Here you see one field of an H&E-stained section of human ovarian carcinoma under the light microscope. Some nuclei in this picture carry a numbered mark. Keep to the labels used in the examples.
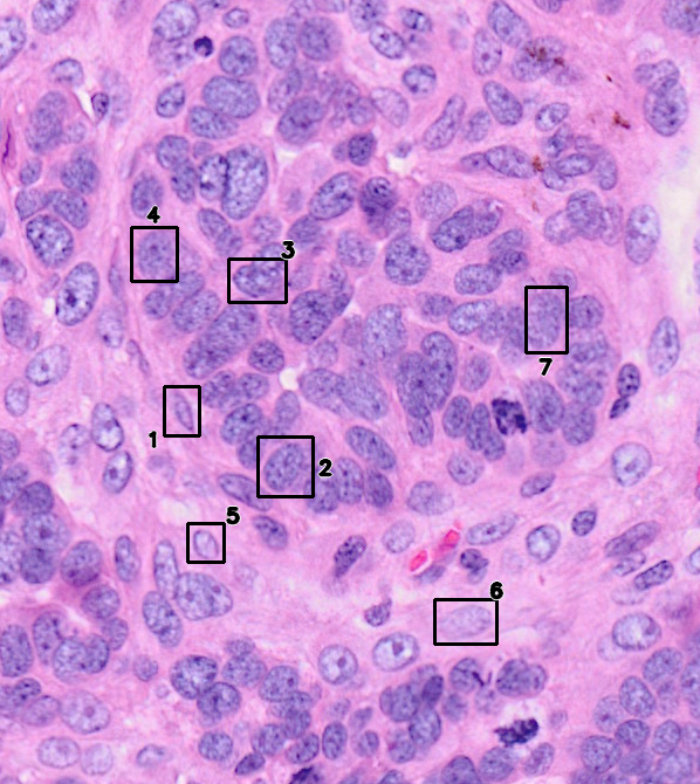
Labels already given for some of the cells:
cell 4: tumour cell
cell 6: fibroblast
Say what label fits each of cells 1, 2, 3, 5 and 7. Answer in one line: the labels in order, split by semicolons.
fibroblast; tumour cell; tumour cell; fibroblast; tumour cell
